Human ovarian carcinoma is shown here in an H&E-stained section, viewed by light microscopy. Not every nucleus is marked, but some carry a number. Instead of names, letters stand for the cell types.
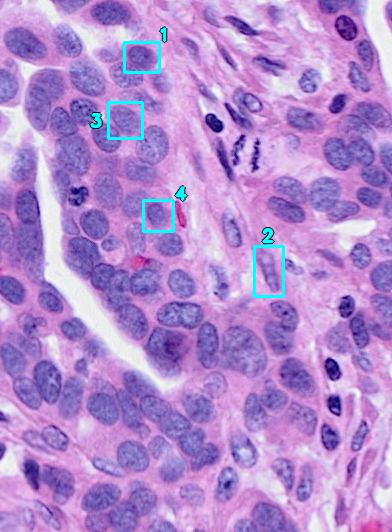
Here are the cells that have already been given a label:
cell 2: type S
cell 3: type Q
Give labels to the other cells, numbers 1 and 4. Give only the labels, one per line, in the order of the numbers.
type Q
type Q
